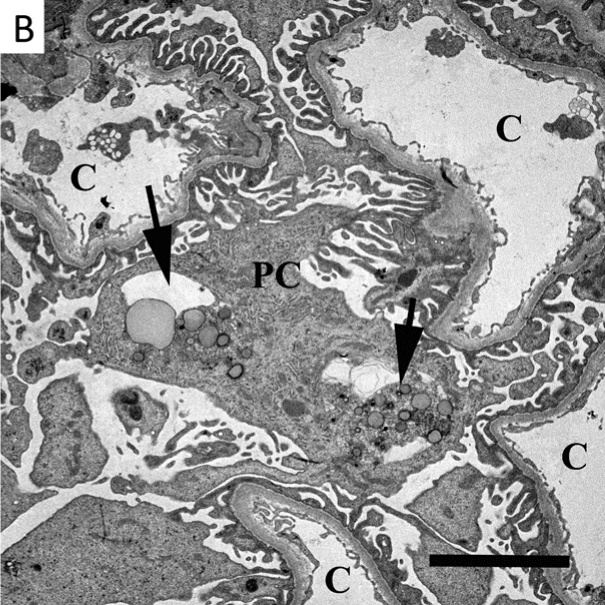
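A podocyte cell body lies between several open capillary loops, and many slender interdigitating foot processes rest on the capillary basement membranes. Its cytoplasm holds round inclusions of differing size, including a large round body in a clear space and clusters of small dense-rimmed bodies.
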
